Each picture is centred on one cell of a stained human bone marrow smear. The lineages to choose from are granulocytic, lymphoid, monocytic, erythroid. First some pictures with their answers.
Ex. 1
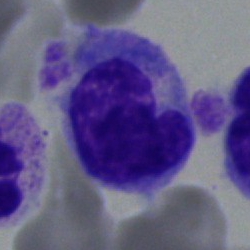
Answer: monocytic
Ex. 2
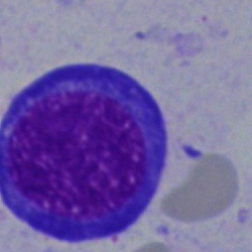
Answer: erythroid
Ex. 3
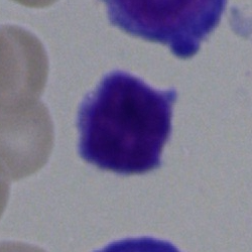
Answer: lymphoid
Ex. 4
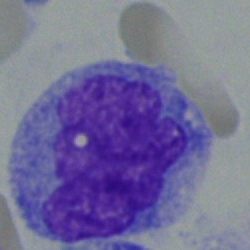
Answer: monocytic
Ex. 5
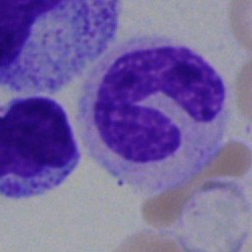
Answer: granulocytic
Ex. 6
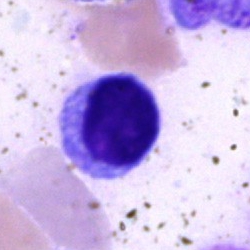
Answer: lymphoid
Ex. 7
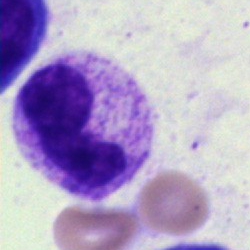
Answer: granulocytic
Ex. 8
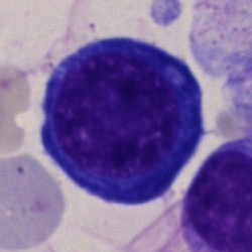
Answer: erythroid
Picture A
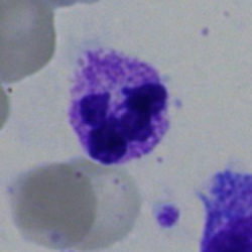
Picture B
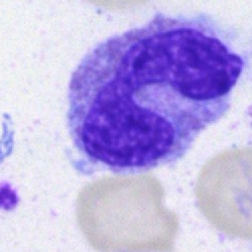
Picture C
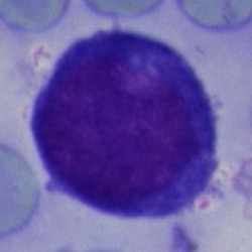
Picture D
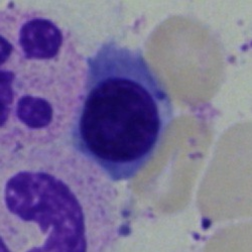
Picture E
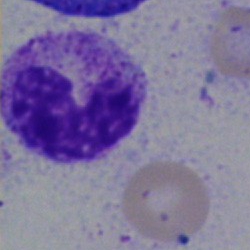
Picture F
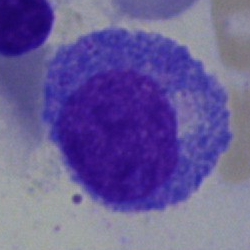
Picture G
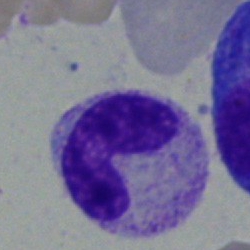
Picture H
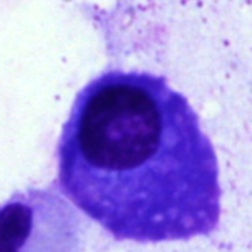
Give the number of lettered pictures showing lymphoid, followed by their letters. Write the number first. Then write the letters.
1: H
